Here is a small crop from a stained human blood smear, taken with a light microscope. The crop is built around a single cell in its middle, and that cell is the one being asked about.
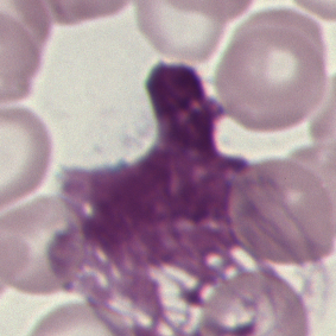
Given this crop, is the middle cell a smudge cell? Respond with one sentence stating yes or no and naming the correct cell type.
Yes, centred in the crop is a smudge cell.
